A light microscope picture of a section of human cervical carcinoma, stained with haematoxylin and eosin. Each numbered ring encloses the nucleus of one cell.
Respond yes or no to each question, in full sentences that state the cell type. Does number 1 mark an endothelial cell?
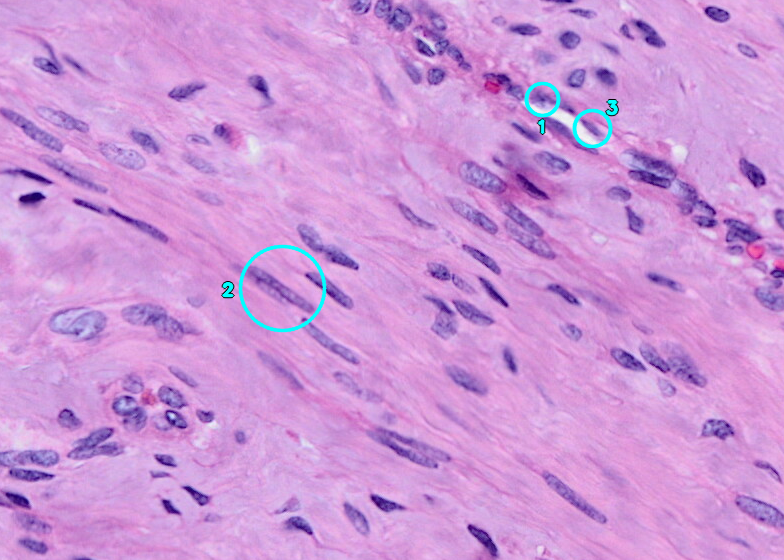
Yes, in this section the cell numbered 1 is an endothelial cell.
